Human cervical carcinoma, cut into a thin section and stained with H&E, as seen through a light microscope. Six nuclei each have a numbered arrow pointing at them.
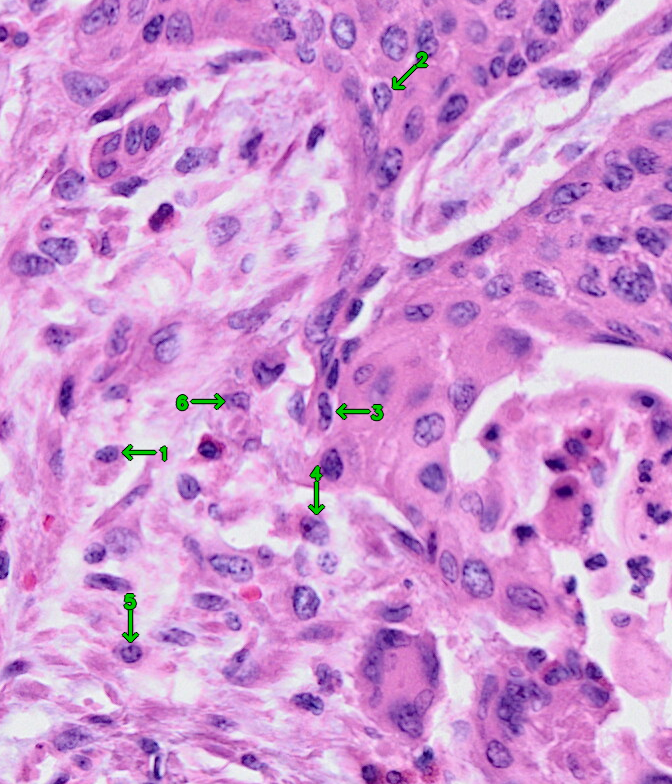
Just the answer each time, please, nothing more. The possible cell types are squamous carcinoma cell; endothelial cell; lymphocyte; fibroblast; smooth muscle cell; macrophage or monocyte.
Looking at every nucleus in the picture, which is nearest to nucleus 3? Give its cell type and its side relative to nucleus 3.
a macrophage or monocyte, to the left of nucleus 3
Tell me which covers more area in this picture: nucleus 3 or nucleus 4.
4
